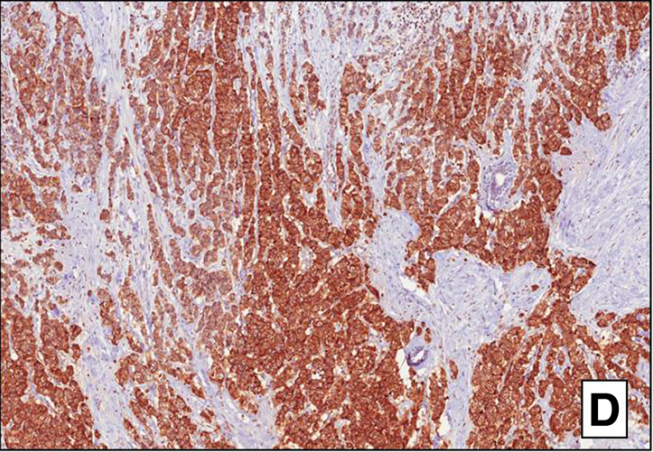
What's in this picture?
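Tumor tissue in which sheets and cords of tumor cells show strong, diffuse brown staining of their cytoplasm. Almost all tumor cells are stained, forming broad brown fields. Between them, the fibrous stroma is unstained and appears pale blue-grey, with a few small vessels.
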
